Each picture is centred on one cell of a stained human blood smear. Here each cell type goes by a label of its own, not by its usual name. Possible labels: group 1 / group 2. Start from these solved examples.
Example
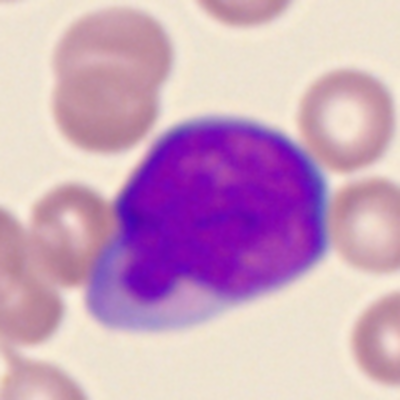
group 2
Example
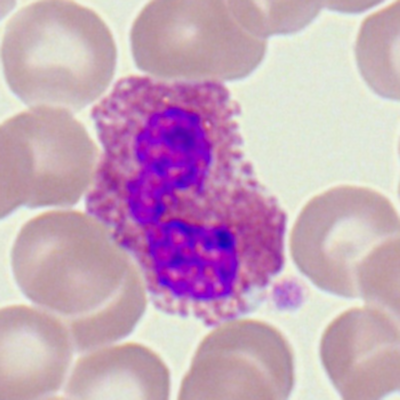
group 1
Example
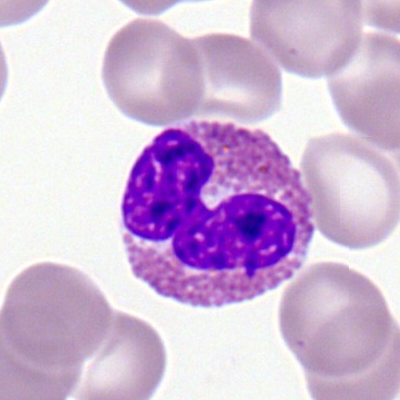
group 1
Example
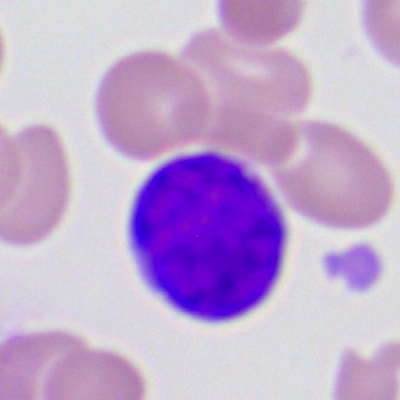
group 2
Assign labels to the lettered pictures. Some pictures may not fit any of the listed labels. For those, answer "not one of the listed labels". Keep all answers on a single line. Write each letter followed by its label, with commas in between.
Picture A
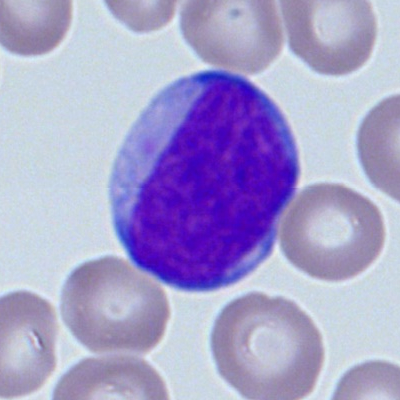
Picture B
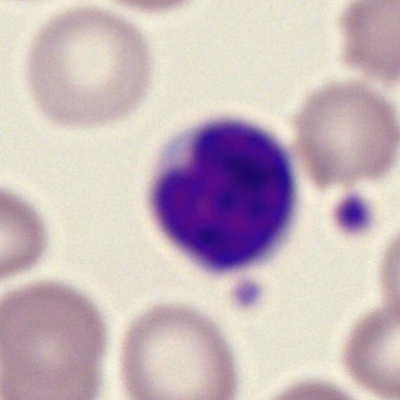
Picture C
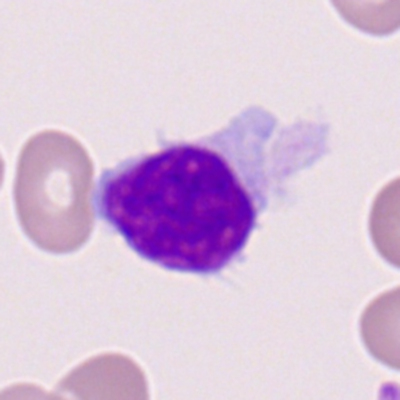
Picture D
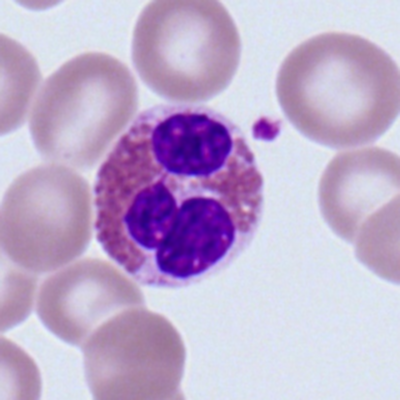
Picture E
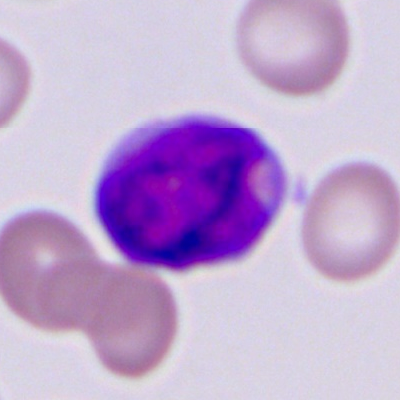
A group 2, B not one of the listed labels, C not one of the listed labels, D group 1, E group 2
